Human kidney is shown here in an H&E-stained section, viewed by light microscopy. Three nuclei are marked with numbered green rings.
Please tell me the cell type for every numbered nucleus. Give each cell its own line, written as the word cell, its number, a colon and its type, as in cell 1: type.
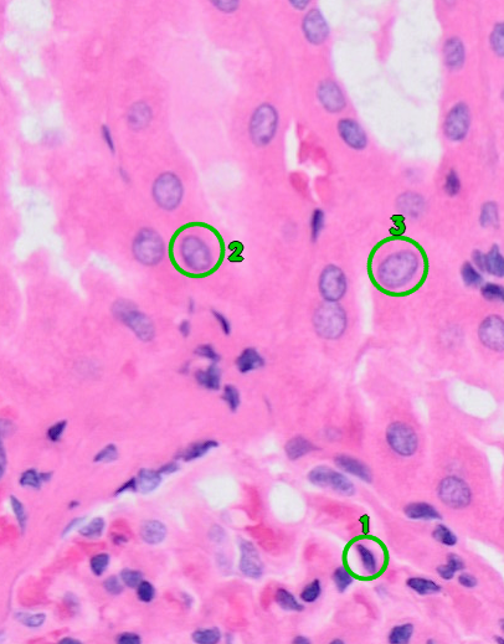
cell 1: endothelial cell
cell 2: proximal tubule cell
cell 3: proximal tubule cell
